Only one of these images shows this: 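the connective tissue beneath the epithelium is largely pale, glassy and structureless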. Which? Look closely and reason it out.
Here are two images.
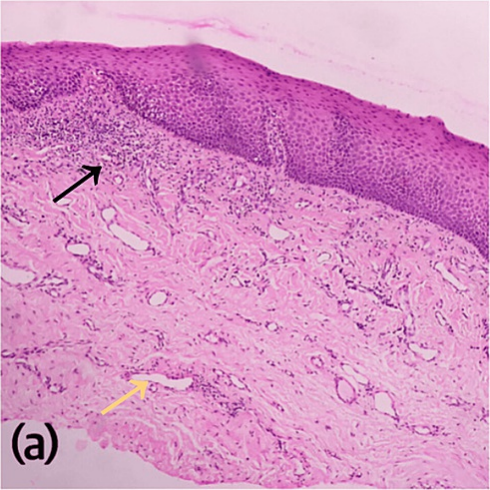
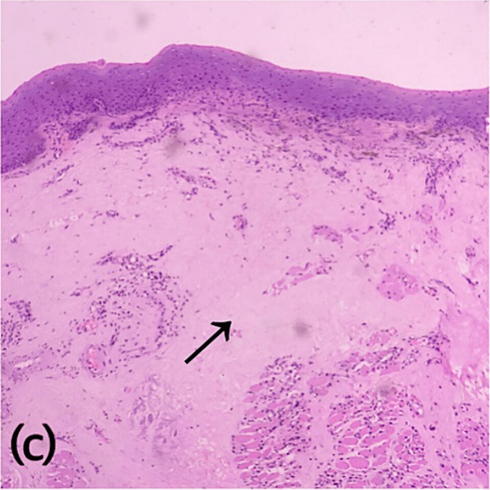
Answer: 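The second image. Second image: a wide pale homogeneous zone with few nuclei lies beneath a thin epithelium. First image: the stroma still shows fibrous collagen strands, many vessels and a dense cellular band beneath the epithelium.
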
